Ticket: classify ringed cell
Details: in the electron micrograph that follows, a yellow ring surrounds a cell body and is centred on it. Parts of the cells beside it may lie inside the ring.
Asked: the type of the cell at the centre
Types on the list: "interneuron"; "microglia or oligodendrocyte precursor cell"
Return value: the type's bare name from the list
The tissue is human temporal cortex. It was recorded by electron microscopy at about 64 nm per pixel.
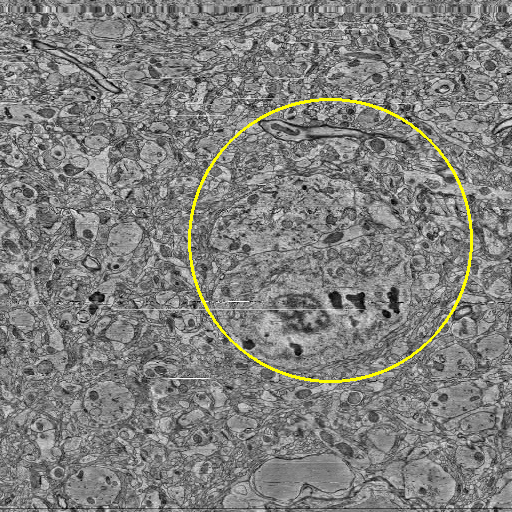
microglia or oligodendrocyte precursor cell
